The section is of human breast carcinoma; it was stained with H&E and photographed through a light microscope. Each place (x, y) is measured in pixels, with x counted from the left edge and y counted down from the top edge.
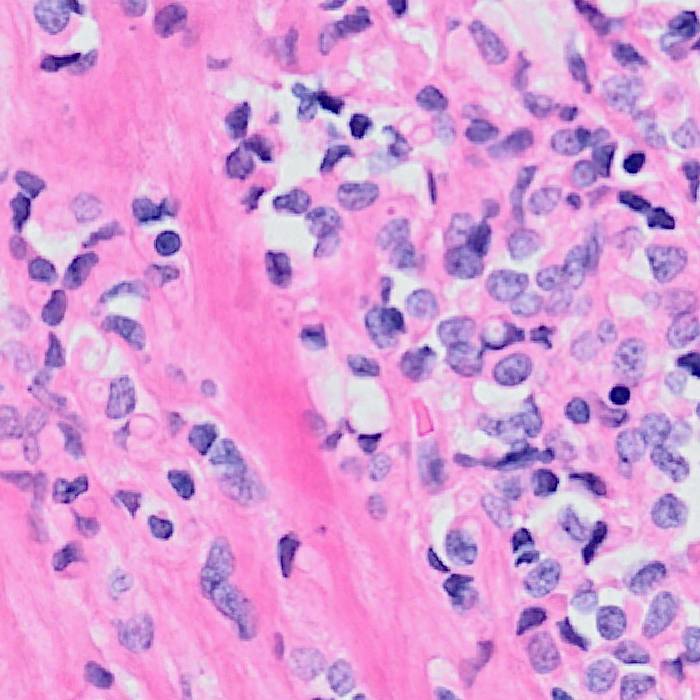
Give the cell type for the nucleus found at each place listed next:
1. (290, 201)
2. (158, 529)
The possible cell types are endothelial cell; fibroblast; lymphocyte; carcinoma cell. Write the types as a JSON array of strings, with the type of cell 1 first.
["carcinoma cell", "lymphocyte"]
